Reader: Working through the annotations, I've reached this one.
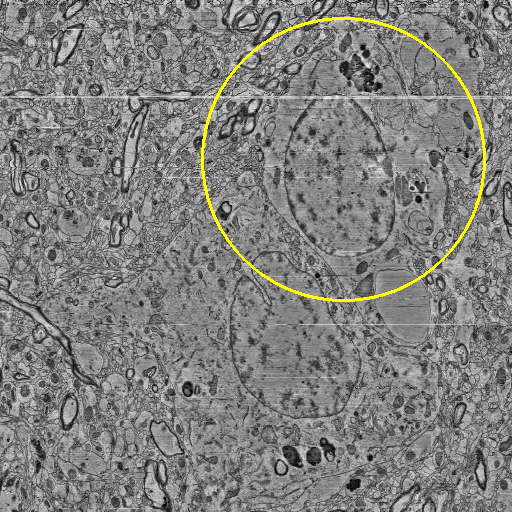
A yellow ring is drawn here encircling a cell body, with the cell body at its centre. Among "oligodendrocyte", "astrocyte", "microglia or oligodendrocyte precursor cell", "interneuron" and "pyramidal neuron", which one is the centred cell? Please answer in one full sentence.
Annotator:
The cell body at the centre of the yellow ring in this image belongs to an astrocyte.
